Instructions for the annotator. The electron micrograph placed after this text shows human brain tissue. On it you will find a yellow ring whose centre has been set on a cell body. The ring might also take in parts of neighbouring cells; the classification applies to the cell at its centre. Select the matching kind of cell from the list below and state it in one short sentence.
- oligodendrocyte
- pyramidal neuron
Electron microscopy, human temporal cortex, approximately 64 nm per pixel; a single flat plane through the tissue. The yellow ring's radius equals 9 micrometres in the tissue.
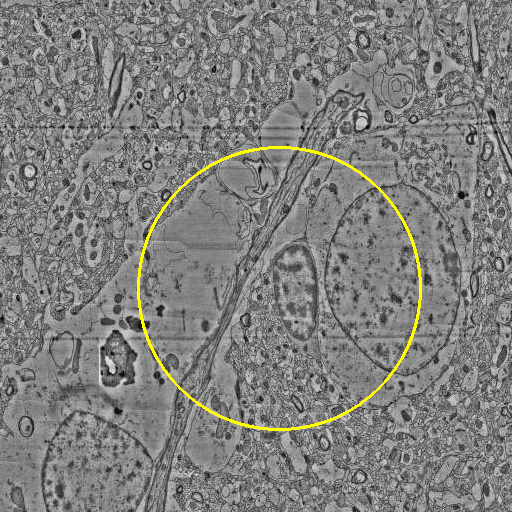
The ring is drawn on the cell body of an oligodendrocyte.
